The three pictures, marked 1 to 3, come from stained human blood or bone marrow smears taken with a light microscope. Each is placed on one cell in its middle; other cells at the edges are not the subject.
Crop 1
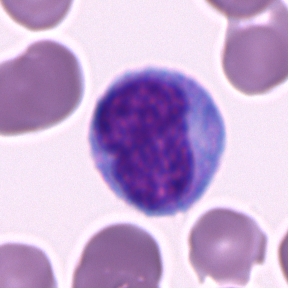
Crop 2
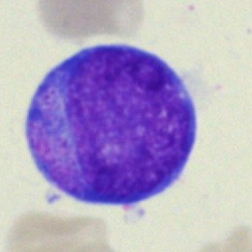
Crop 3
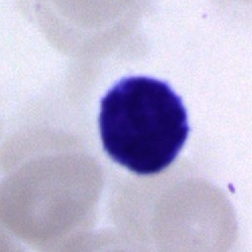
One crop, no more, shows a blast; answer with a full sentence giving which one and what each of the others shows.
Crop 2 shows a blast, while crop 1 is a monocyte and crop 3 is a lymphocyte.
